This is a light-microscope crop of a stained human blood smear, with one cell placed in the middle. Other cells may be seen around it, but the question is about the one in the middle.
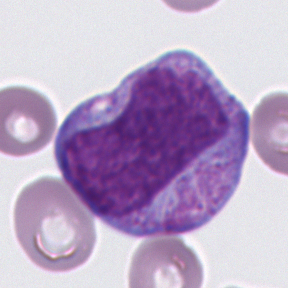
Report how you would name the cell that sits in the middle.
atypical promyelocyte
